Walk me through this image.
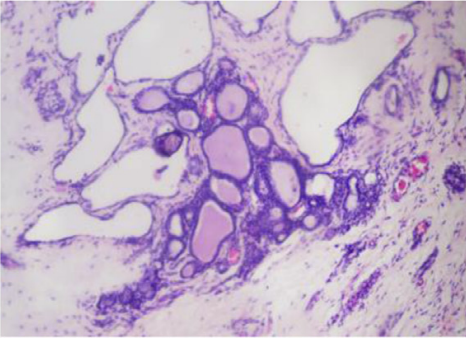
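Here we are looking at thyroid tissue lying within loose connective tissue. In the centre is a compact cluster of round follicles of different sizes. Each follicle is a ring of small cuboidal cells with dark round nuclei, enclosing a lumen filled with smooth, glassy pink colloid; a few lumens hold darker purple material instead. Around this cluster the tissue is very different: large, empty, clear spaces separated by thin pale strands, giving a lacy appearance, and scattered small blood vessels containing red cells run through the pale stroma beside the follicles.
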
